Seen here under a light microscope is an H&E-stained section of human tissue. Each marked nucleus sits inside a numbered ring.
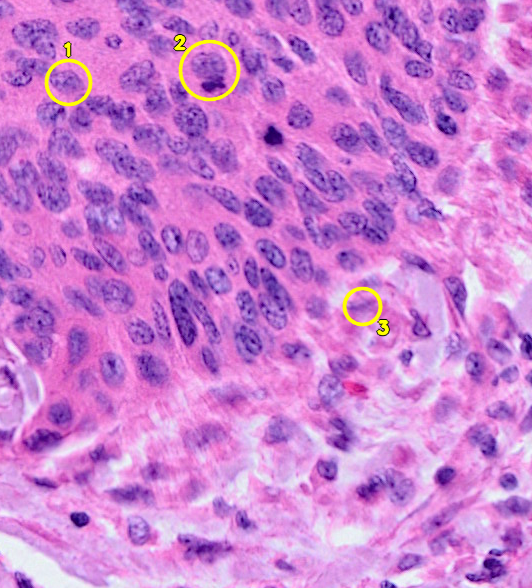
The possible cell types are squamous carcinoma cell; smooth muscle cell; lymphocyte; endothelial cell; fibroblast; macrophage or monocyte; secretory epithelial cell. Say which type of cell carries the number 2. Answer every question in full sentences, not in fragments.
Cell number 2 in this section is a squamous carcinoma cell.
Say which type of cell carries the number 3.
To a fibroblast belongs the nucleus marked 3.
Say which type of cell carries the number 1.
Nucleus 1 in this section belongs to a squamous carcinoma cell.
